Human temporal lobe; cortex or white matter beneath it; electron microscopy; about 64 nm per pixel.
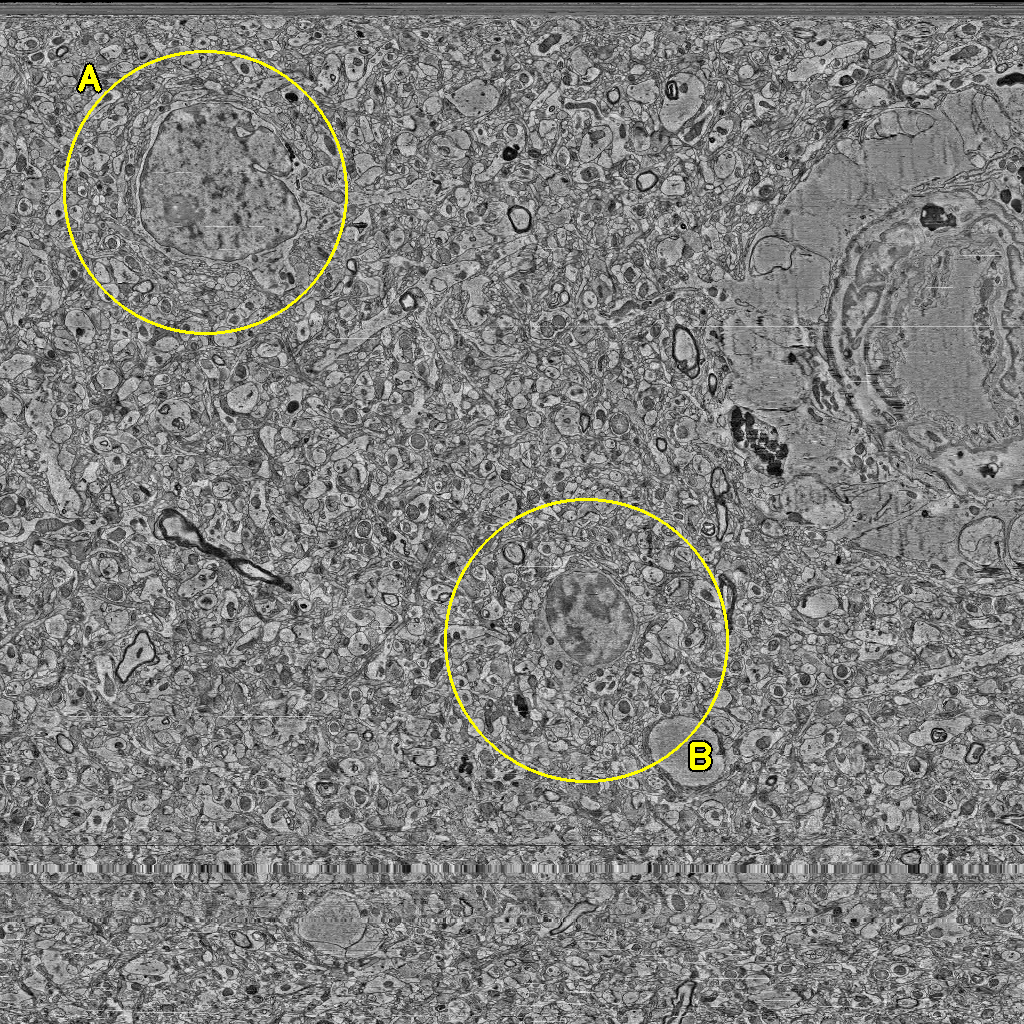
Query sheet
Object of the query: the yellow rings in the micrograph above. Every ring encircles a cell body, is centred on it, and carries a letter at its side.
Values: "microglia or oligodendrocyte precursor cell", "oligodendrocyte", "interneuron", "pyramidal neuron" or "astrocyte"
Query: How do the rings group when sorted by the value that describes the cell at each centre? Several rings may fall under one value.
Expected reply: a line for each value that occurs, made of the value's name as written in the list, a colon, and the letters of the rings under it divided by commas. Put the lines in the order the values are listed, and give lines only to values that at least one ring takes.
microglia or oligodendrocyte precursor cell: A
oligodendrocyte: B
